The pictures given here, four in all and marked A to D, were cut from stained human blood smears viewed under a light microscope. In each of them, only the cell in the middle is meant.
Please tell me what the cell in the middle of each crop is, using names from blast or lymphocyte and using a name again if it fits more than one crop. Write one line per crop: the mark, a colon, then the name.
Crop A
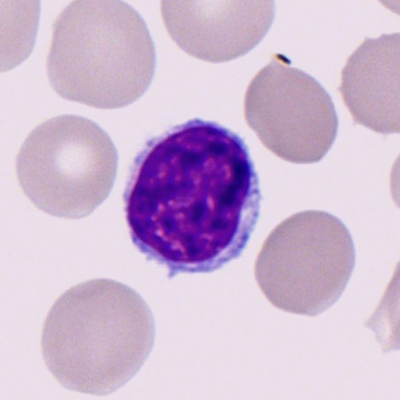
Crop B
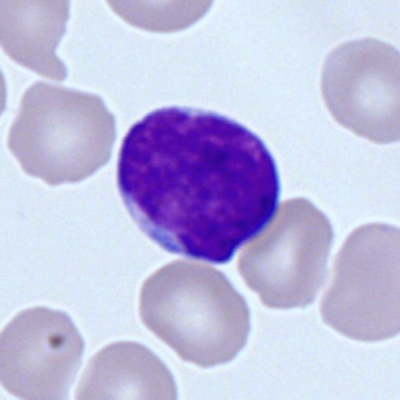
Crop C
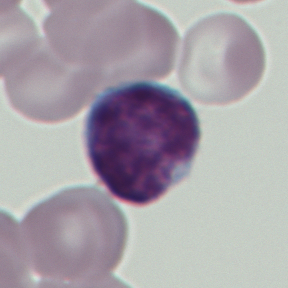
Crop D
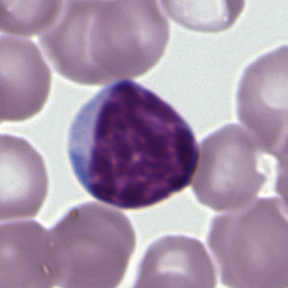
A: lymphocyte
B: blast
C: lymphocyte
D: blast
